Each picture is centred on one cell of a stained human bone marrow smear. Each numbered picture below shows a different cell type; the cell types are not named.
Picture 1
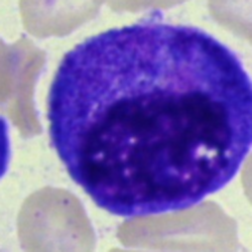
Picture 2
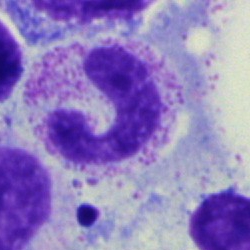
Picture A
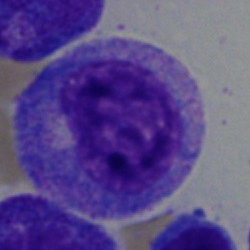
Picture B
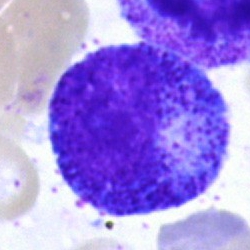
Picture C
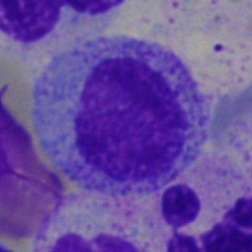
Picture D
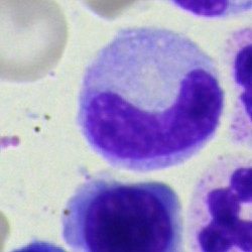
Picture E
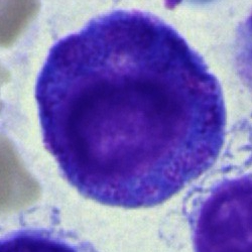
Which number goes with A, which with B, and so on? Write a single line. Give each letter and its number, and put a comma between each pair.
A 1, B 1, C 1, D 2, E 1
